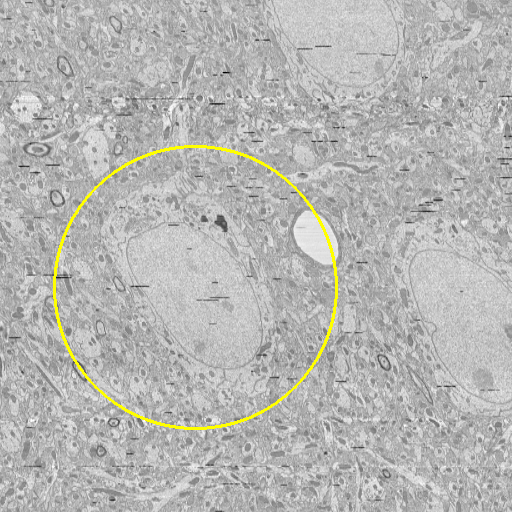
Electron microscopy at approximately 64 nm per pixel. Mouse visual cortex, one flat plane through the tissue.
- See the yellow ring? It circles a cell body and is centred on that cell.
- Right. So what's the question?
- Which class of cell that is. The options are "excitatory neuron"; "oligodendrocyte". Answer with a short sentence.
The centre of the ring holds an excitatory neuron.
